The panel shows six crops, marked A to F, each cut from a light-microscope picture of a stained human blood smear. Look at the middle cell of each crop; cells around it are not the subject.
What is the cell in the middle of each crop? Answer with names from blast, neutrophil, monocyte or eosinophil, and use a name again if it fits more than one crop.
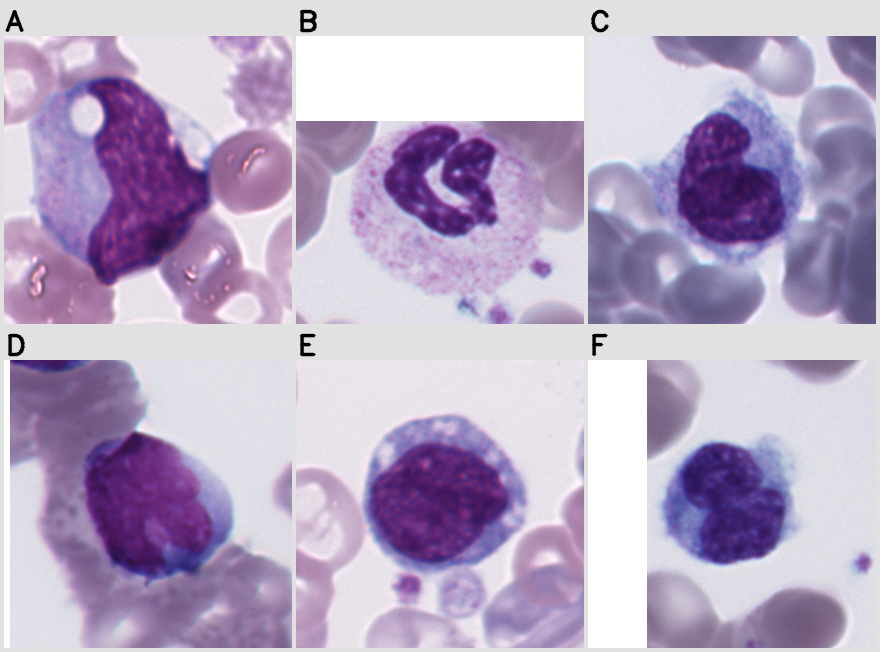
A: monocyte
B: neutrophil
C: monocyte
D: blast
E: monocyte
F: monocyte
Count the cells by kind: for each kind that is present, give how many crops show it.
monocyte: 4
neutrophil: 1
blast: 1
